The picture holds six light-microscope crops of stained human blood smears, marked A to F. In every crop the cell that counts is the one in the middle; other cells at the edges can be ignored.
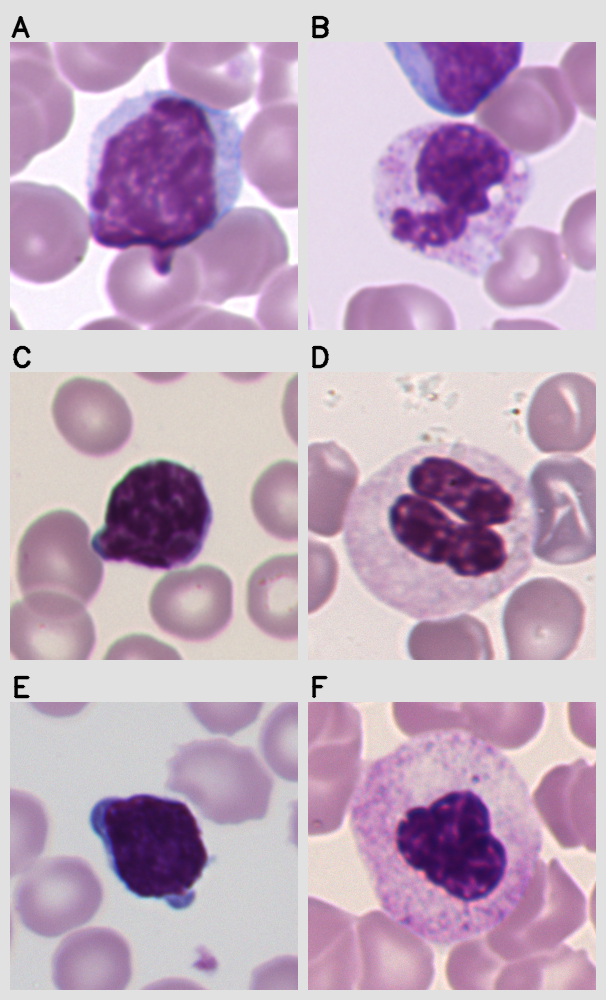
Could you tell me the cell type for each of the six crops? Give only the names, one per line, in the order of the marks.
typical lymphocyte
segmented neutrophil
typical lymphocyte
segmented neutrophil
typical lymphocyte
segmented neutrophil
